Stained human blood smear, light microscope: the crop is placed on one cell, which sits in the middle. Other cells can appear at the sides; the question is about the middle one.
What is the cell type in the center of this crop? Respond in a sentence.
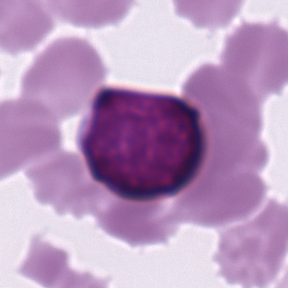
The cell at the middle of the crop is recognized as a myeloblast.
